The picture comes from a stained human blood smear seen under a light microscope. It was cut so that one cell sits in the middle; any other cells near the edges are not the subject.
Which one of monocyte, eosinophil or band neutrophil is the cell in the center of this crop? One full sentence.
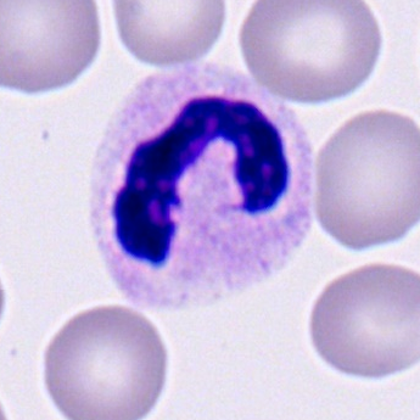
What the crop centres on is a band neutrophil.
